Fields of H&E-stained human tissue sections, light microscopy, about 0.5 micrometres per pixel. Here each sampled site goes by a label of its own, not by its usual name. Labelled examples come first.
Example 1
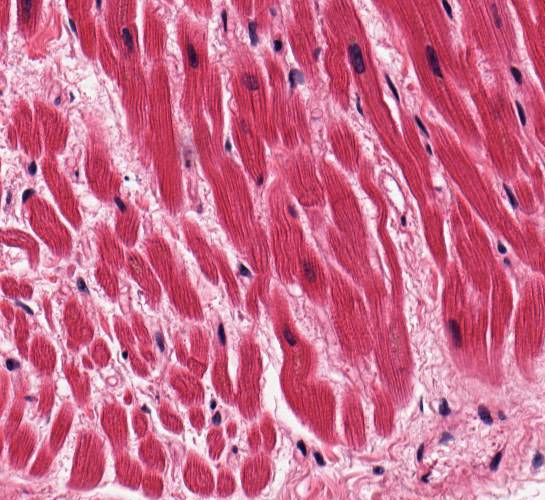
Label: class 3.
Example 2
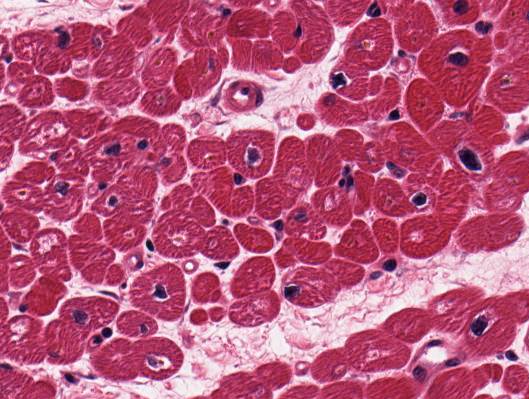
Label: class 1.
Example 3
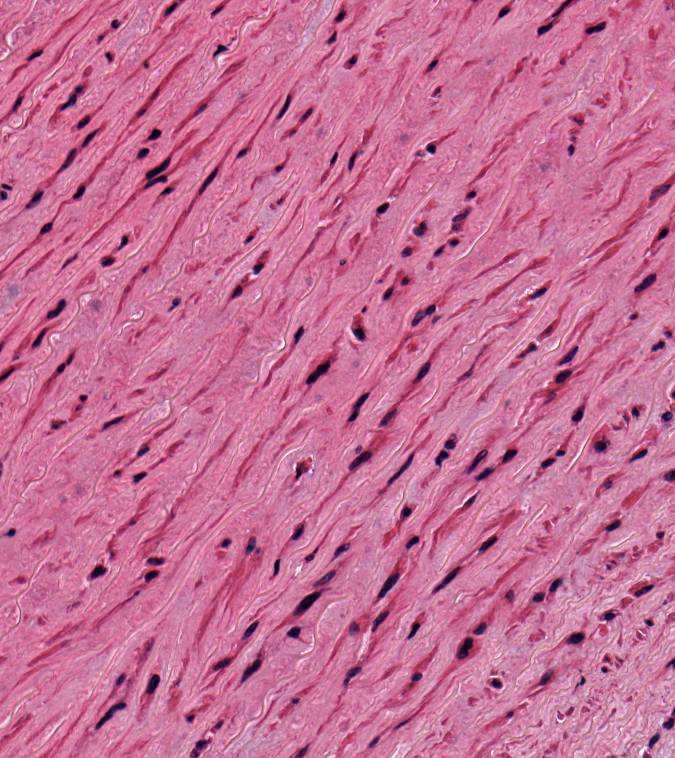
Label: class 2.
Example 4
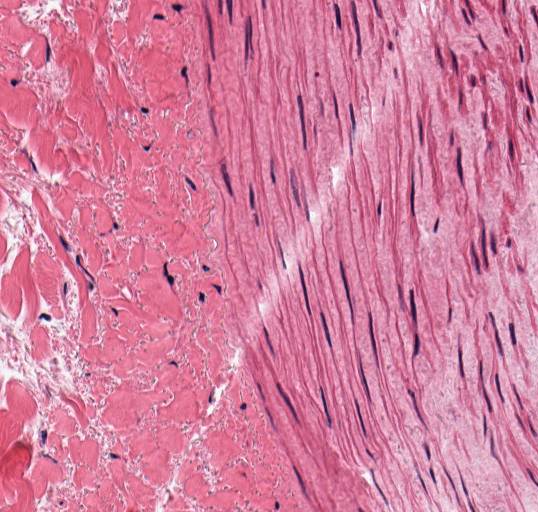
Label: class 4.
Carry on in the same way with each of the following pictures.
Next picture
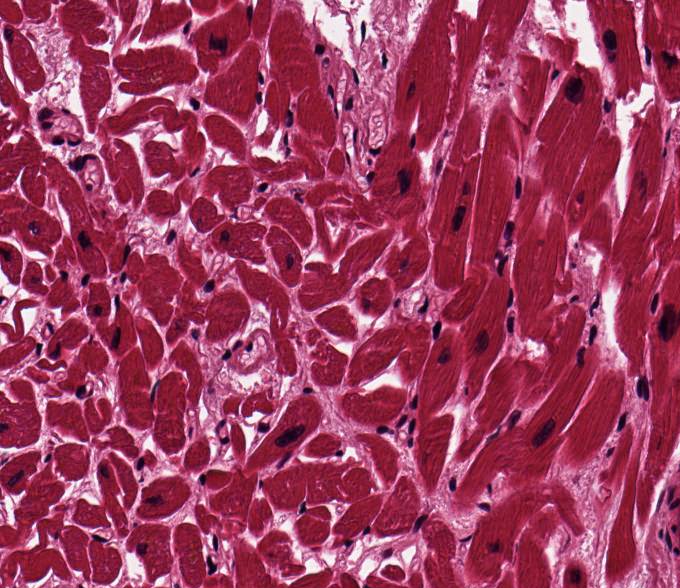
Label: class 1.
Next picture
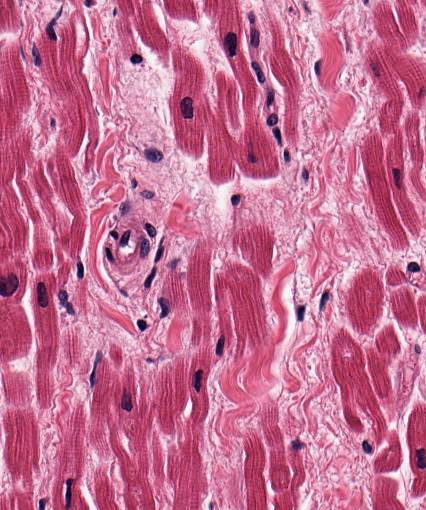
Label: class 3.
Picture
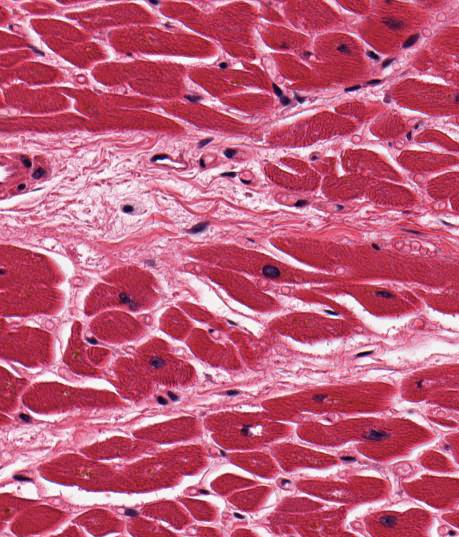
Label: class 1.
